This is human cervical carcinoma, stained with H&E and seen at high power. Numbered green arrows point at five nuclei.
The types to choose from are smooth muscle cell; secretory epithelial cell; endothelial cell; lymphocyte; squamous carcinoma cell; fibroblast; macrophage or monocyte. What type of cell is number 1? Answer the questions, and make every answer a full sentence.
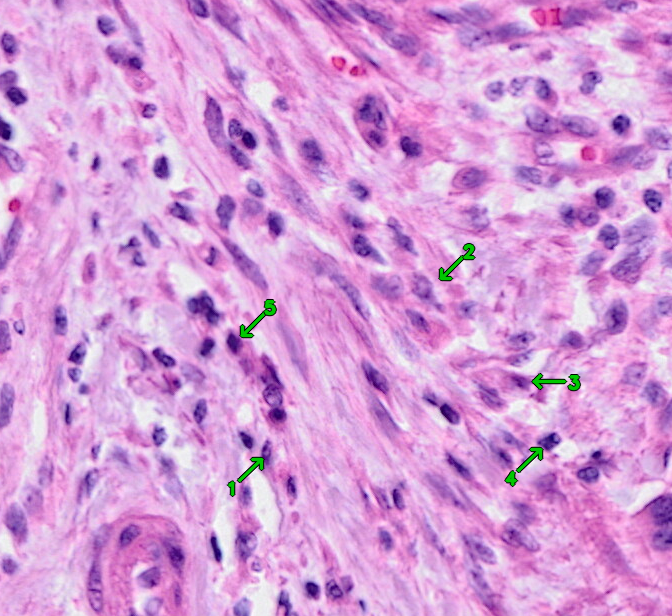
Cell 1, among those numbered, is a macrophage or monocyte.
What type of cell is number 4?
At number 4, the marked cell is a lymphocyte.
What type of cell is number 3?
The cell indicated with the number 3 is classed as a fibroblast.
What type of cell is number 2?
The nucleus with number 2 is that of a fibroblast.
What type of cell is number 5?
The label 5 in this section denotes a lymphocyte.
